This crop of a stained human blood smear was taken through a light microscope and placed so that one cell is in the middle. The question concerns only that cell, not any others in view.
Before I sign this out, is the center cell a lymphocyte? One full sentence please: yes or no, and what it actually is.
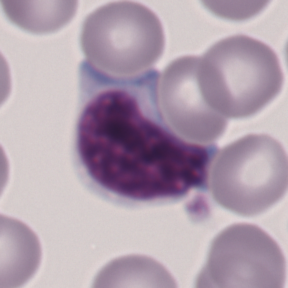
Yes, the crop is centred on a lymphocyte.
